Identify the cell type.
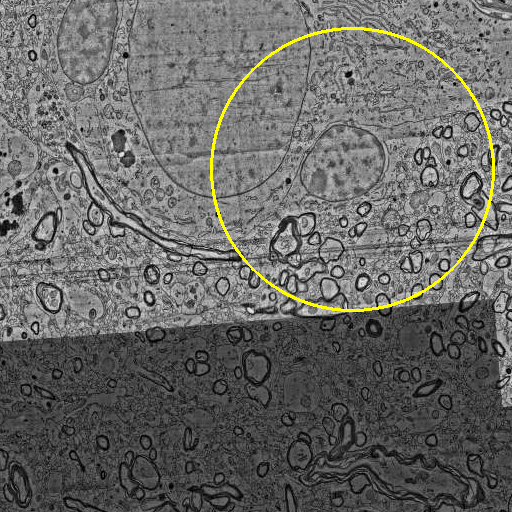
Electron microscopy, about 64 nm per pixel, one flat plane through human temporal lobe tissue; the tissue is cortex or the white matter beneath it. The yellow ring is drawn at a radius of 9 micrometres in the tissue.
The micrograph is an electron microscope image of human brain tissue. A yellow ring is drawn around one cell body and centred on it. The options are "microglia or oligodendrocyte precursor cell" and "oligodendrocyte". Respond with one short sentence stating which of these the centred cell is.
The cell body in the ring belongs to a microglial cell or oligodendrocyte precursor cell.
